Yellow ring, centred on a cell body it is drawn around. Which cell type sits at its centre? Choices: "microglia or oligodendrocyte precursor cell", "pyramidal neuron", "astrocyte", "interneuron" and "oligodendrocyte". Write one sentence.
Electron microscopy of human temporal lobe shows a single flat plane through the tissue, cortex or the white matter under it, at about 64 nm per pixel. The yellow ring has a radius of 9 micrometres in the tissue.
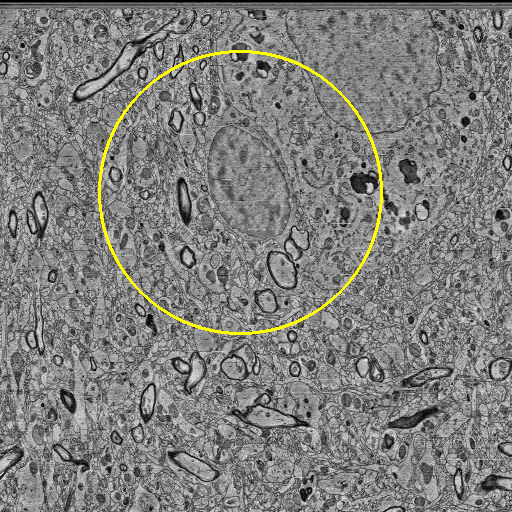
At the centre of the ring sits an oligodendrocyte.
